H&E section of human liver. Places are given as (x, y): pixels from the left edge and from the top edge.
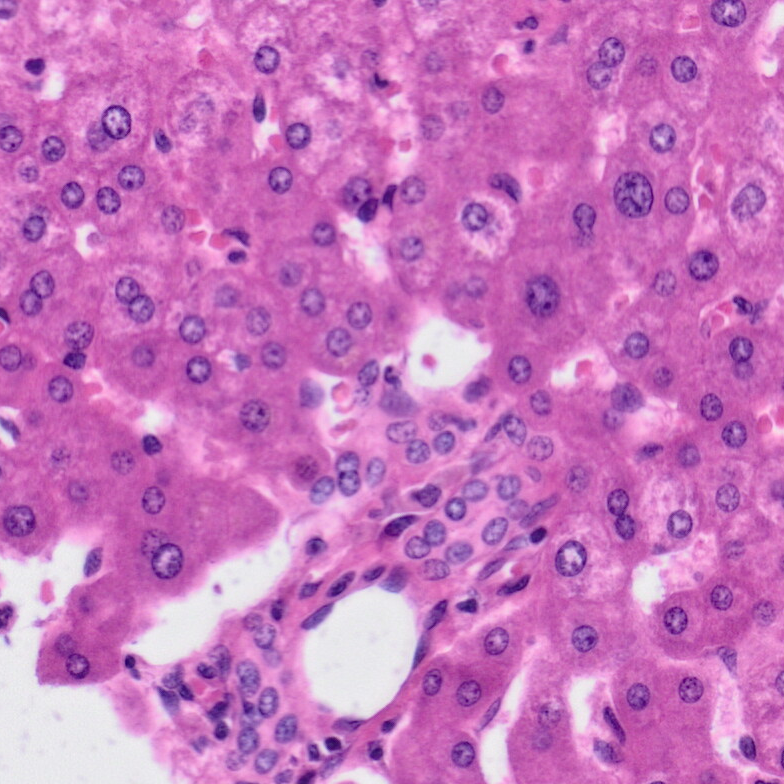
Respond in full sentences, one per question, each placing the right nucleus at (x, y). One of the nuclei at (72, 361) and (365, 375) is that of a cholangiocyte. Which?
The nucleus at (365, 375), rather than the other, belongs to a cholangiocyte.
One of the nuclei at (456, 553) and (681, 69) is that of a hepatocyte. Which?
The one belonging to a hepatocyte is the nucleus at (681, 69), not the other.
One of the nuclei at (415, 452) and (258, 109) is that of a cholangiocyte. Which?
Of the two options, the nucleus at (415, 452) is the one that belongs to a cholangiocyte.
